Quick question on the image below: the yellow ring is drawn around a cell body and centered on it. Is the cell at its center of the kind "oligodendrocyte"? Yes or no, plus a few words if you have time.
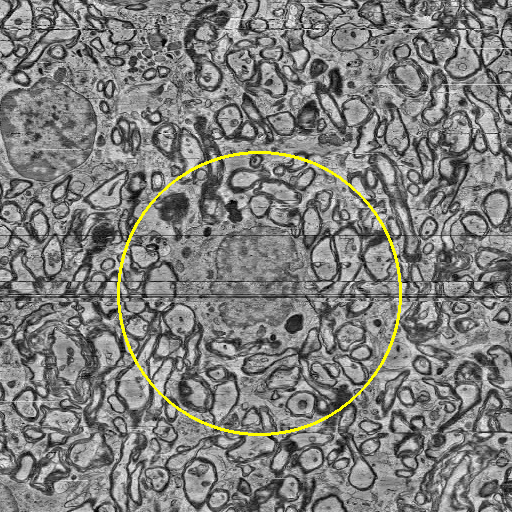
Yes, the cell at the center is of that kind.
